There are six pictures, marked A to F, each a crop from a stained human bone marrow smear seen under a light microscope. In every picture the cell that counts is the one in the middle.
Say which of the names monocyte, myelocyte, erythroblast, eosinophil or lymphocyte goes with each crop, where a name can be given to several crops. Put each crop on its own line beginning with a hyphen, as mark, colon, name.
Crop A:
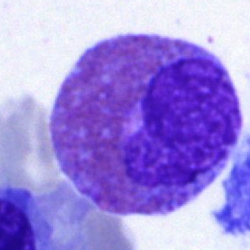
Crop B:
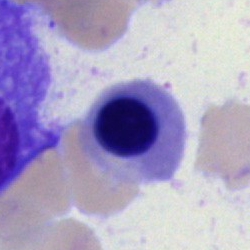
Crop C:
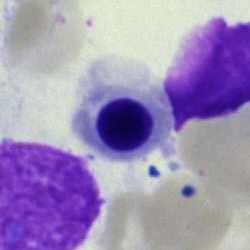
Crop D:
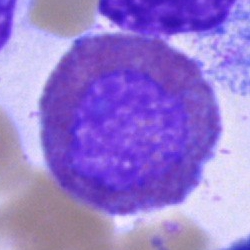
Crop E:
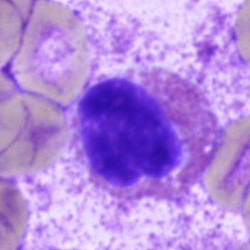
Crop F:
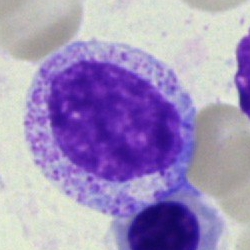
- A: eosinophil
- B: erythroblast
- C: erythroblast
- D: eosinophil
- E: eosinophil
- F: myelocyte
